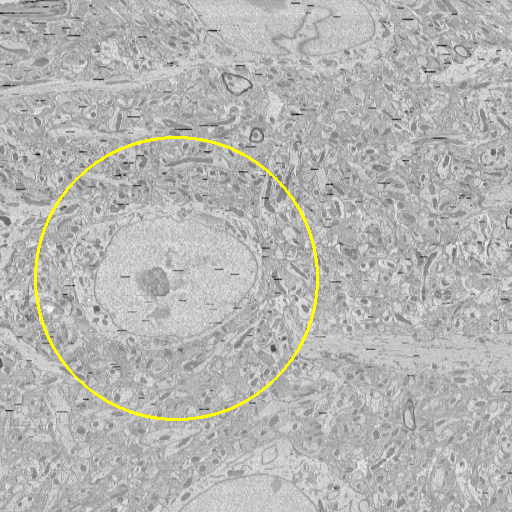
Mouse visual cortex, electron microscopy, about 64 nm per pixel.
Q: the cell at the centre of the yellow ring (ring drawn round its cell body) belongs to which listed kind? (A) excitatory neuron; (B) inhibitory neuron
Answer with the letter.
B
